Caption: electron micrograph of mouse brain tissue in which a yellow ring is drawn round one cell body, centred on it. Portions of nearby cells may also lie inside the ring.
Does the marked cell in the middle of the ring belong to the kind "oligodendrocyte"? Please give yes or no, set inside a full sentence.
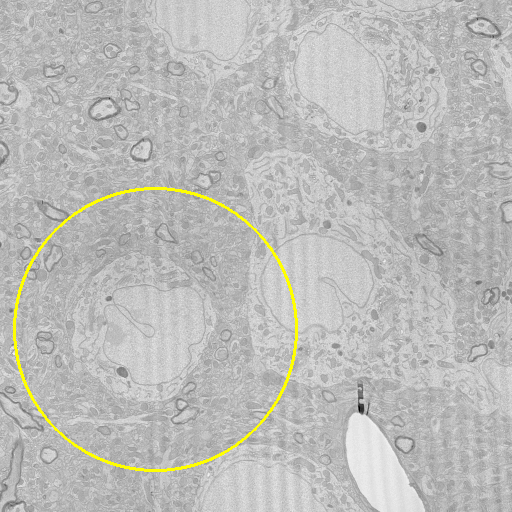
No, the marked cell that the ring is centred on in the picture is of another kind.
